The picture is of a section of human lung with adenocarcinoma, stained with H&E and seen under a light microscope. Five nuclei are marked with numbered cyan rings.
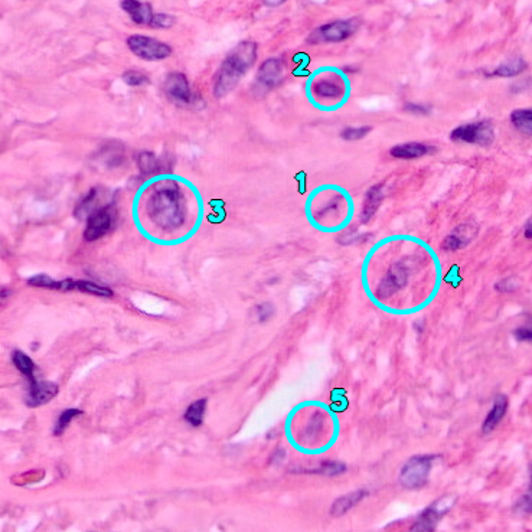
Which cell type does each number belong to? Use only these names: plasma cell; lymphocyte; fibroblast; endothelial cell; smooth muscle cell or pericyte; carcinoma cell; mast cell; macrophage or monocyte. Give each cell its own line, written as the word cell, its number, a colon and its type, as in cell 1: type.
cell 1: fibroblast
cell 2: mast cell
cell 3: fibroblast
cell 4: smooth muscle cell or pericyte
cell 5: smooth muscle cell or pericyte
